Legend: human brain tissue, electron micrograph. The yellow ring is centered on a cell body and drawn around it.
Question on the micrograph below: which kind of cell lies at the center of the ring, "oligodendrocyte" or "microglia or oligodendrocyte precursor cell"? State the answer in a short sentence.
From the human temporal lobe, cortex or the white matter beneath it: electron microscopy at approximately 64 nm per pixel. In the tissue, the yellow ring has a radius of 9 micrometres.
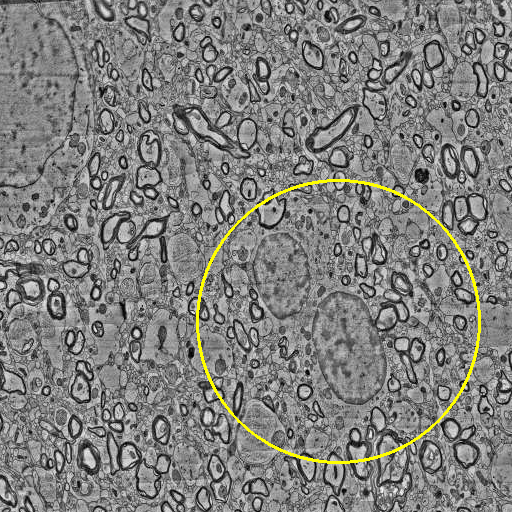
At the center of the ring lies an oligodendrocyte.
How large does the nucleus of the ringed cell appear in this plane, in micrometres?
About 7 by 5 micrometers for the nucleus, in this plane.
